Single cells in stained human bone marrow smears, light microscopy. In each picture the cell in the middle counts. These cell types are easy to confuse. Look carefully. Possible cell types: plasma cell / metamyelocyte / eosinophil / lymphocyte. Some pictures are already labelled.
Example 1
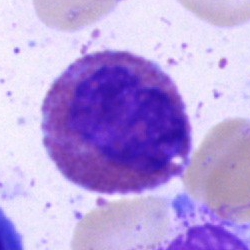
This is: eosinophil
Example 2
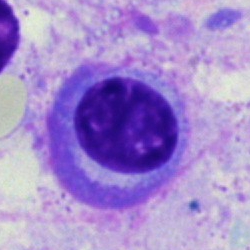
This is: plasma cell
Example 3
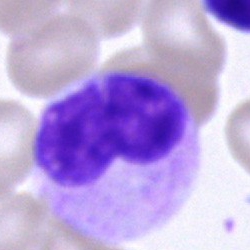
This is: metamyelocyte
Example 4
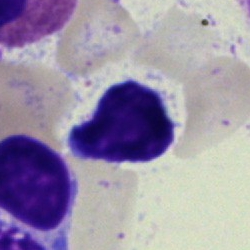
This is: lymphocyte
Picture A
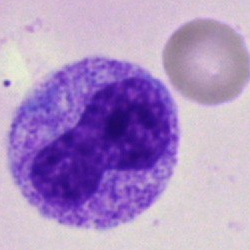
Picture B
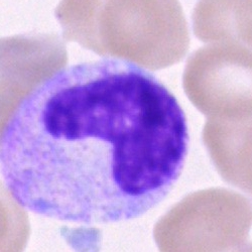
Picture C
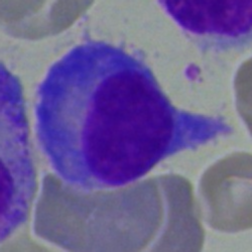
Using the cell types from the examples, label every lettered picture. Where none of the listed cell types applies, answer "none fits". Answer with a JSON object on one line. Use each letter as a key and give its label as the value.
{"A": "metamyelocyte", "B": "metamyelocyte", "C": "plasma cell"}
